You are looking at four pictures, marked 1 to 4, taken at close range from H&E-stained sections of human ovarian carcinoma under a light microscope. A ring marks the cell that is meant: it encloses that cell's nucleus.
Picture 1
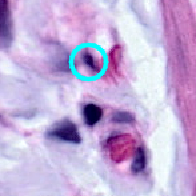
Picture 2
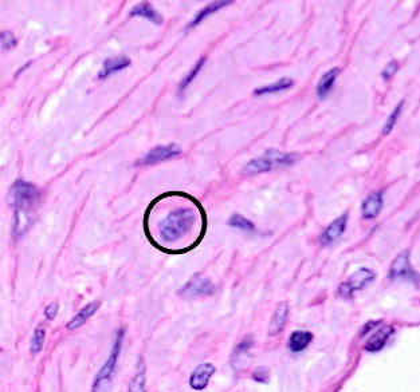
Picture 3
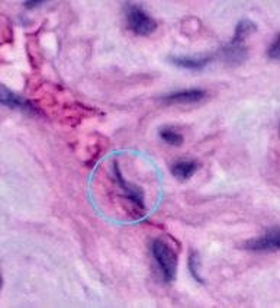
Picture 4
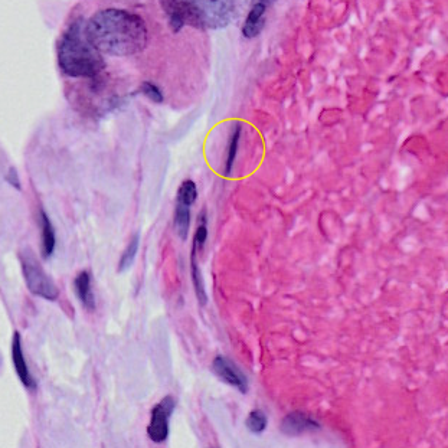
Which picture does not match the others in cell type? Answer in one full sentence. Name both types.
Picture 2 is the odd one out: it shows a “macrophage or monocyte”, while the others show endothelial cells.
